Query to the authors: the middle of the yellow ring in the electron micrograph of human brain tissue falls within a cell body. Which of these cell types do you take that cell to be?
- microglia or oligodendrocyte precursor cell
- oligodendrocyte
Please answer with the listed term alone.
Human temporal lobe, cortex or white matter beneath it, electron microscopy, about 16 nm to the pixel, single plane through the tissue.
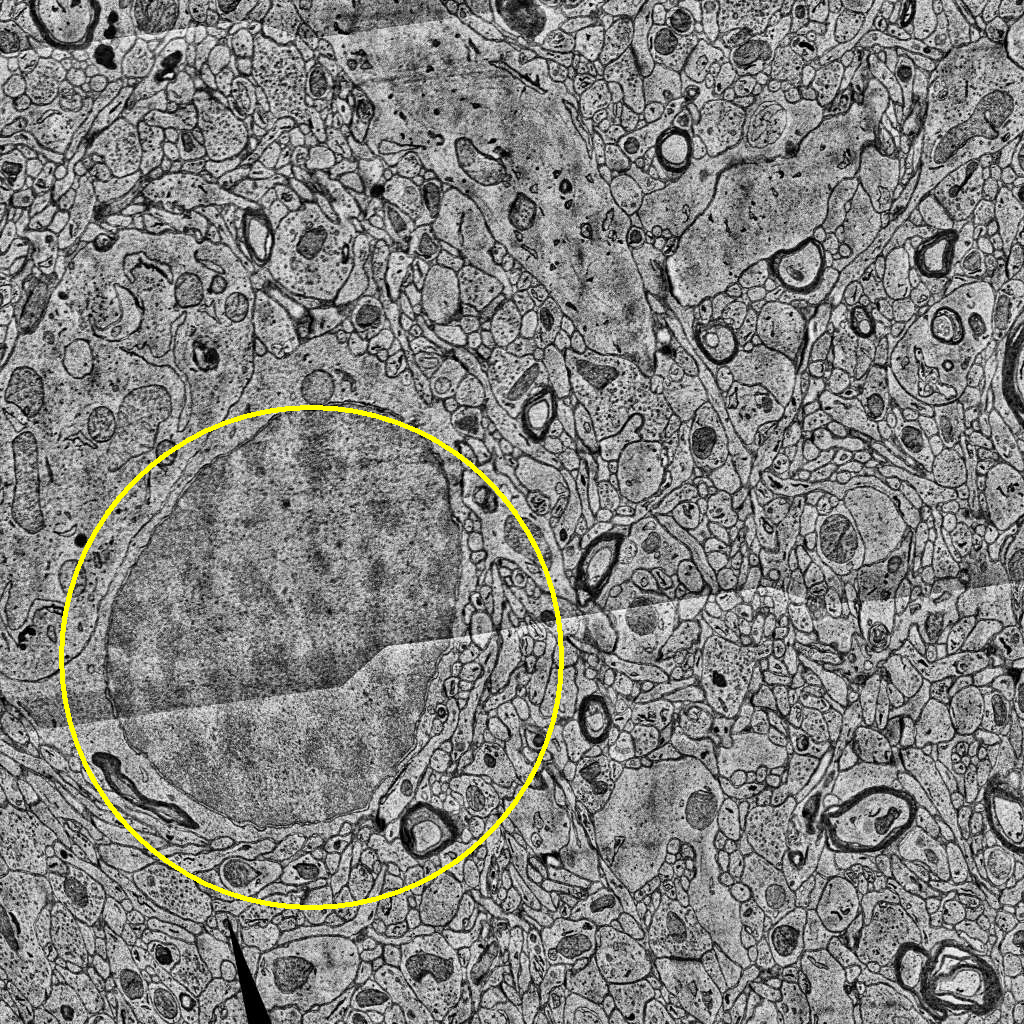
oligodendrocyte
